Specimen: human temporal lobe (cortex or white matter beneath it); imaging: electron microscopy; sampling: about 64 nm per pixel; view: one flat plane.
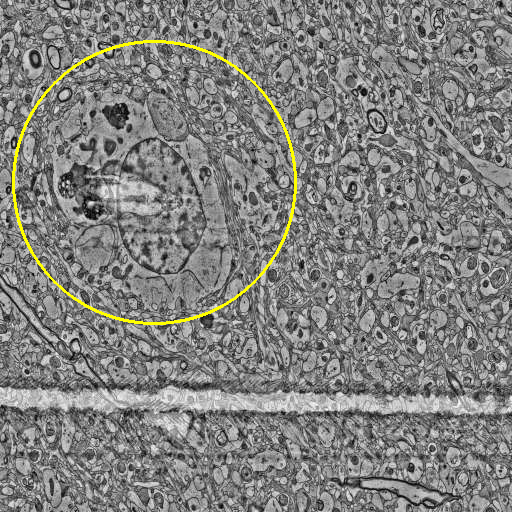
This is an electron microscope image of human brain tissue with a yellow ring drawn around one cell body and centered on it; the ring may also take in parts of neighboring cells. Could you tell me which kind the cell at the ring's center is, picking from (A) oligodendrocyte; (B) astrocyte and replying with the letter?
B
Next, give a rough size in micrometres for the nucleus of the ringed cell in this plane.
In this plane, approximately 9 by 5 micrometers, and clearly longer than it is wide.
